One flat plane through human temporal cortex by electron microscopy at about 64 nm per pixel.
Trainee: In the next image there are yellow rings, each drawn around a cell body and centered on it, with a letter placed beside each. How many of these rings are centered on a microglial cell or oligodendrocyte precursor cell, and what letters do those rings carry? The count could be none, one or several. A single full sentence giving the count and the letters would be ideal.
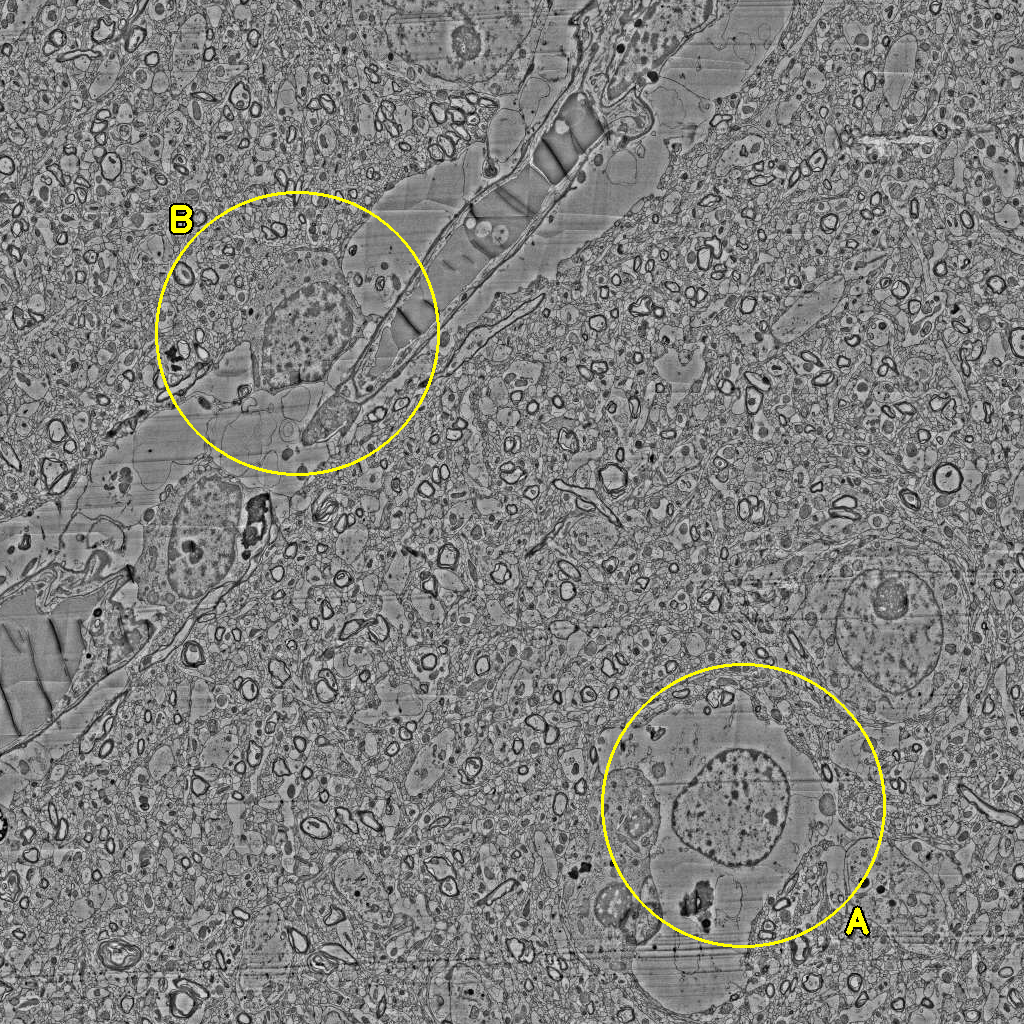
Among the lettered rings, none has a microglial cell or oligodendrocyte precursor cell at its centre, which makes the tally zero.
